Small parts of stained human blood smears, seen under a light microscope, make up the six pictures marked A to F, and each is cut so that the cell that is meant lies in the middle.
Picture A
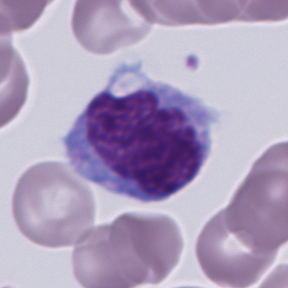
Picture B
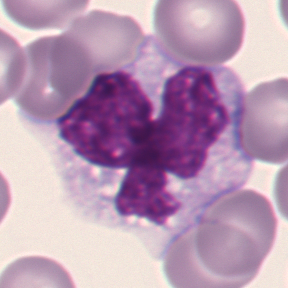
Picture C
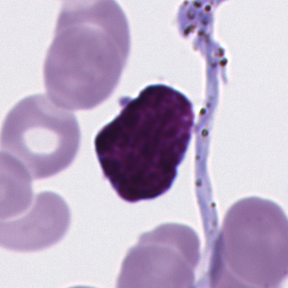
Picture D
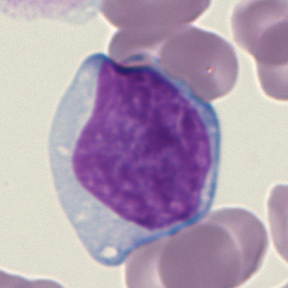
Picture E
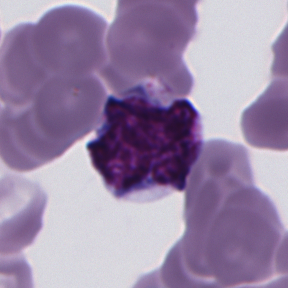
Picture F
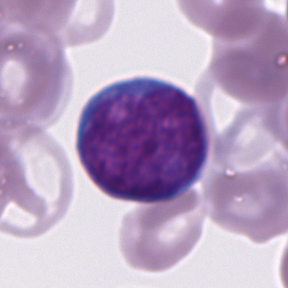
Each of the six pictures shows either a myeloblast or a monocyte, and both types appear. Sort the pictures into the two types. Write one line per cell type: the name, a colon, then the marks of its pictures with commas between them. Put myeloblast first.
myeloblast: C, D, E, F
monocyte: A, B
